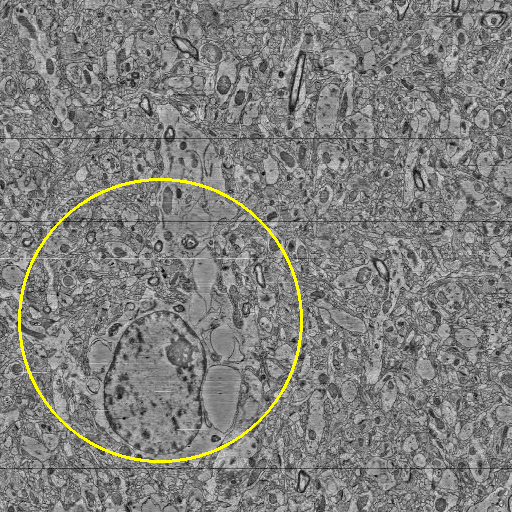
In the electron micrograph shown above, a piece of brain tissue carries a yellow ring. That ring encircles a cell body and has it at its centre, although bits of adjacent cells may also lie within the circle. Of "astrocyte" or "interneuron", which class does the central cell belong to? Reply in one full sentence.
The cell body at the centre of the yellow ring belongs to an astrocyte.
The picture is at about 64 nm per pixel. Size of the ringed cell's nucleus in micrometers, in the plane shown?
In this plane the nucleus measures roughly 9 by 6 micrometers.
